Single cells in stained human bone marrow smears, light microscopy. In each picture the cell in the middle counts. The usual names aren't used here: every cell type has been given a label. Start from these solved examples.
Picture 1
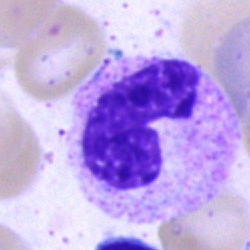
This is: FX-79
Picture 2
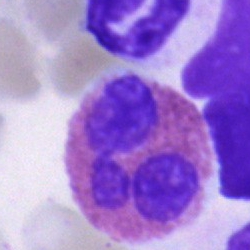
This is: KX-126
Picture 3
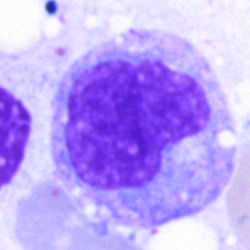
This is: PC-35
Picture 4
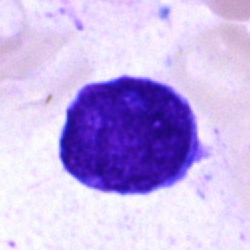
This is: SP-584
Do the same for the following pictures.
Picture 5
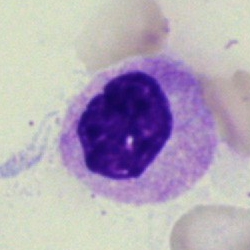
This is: FX-79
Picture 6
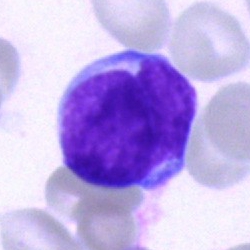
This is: SP-584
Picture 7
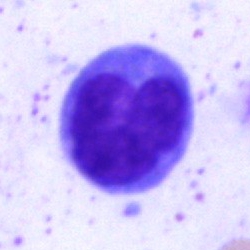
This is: PC-35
